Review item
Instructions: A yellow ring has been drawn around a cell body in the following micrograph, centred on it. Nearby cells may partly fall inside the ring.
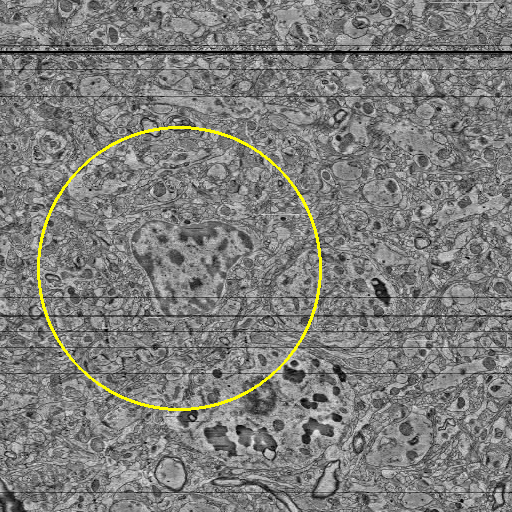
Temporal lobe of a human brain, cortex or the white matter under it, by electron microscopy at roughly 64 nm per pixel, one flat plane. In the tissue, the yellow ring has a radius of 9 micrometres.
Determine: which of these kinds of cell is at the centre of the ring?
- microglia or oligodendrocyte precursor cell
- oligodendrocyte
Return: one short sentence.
The cell body in the middle of the ring is that of a microglial cell or oligodendrocyte precursor cell.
